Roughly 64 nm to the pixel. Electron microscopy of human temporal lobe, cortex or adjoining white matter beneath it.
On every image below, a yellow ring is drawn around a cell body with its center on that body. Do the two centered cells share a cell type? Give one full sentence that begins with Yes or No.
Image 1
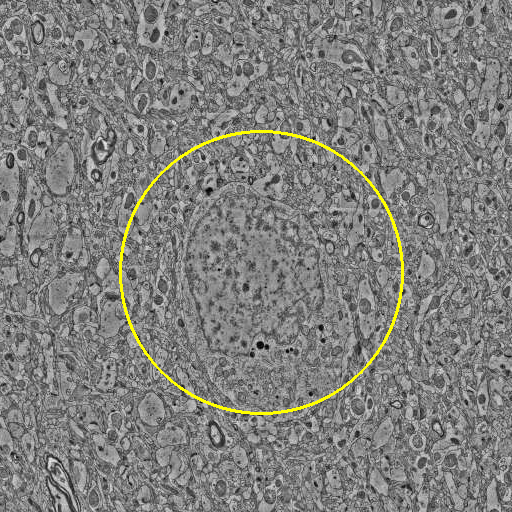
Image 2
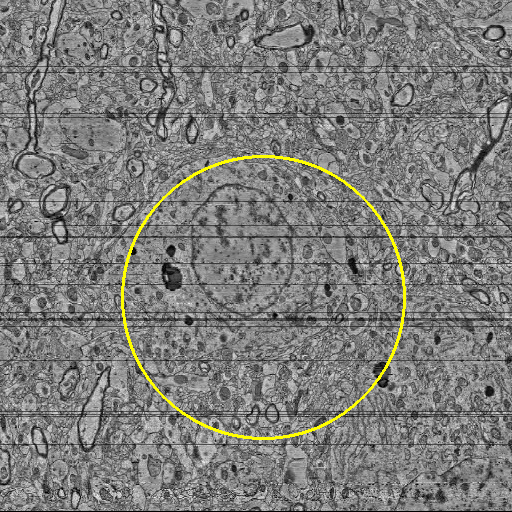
No, the centered cells in the two images are of two separate cell types.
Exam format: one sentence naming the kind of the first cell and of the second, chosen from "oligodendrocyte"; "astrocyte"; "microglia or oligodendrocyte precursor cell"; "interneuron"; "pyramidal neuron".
The first picture's cell is an interneuron, and the second picture's cell is a pyramidal neuron.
